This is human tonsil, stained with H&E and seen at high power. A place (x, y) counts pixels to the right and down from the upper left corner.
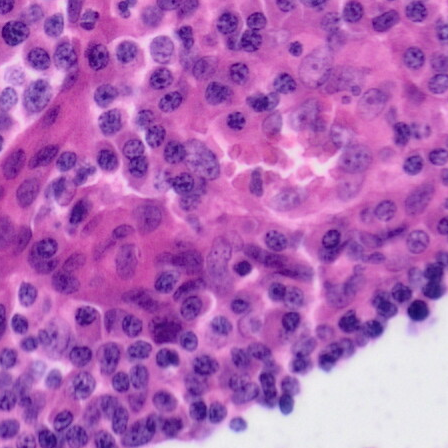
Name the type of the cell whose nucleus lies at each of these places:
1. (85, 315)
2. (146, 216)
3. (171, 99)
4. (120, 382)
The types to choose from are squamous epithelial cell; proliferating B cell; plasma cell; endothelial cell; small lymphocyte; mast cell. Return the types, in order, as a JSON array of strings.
["plasma cell", "squamous epithelial cell", "plasma cell", "plasma cell"]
